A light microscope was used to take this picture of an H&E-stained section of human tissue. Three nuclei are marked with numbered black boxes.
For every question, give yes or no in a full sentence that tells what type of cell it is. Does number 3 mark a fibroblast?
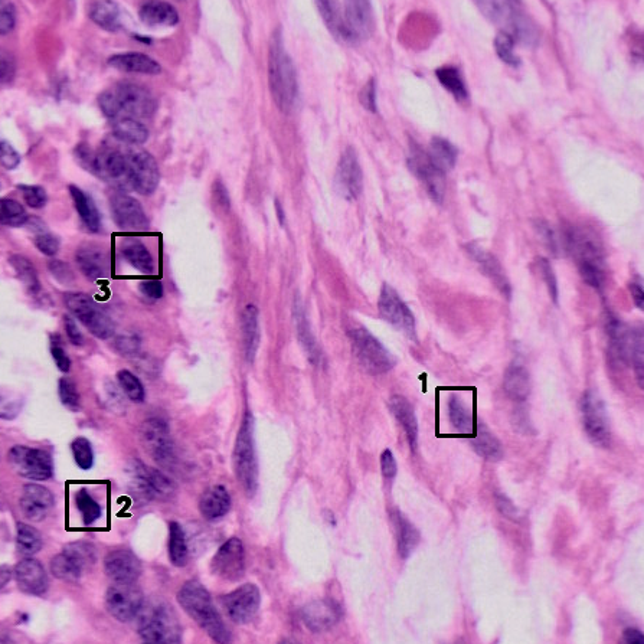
No, the cell that carries number 3 is a carcinoma cell, not a fibroblast.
